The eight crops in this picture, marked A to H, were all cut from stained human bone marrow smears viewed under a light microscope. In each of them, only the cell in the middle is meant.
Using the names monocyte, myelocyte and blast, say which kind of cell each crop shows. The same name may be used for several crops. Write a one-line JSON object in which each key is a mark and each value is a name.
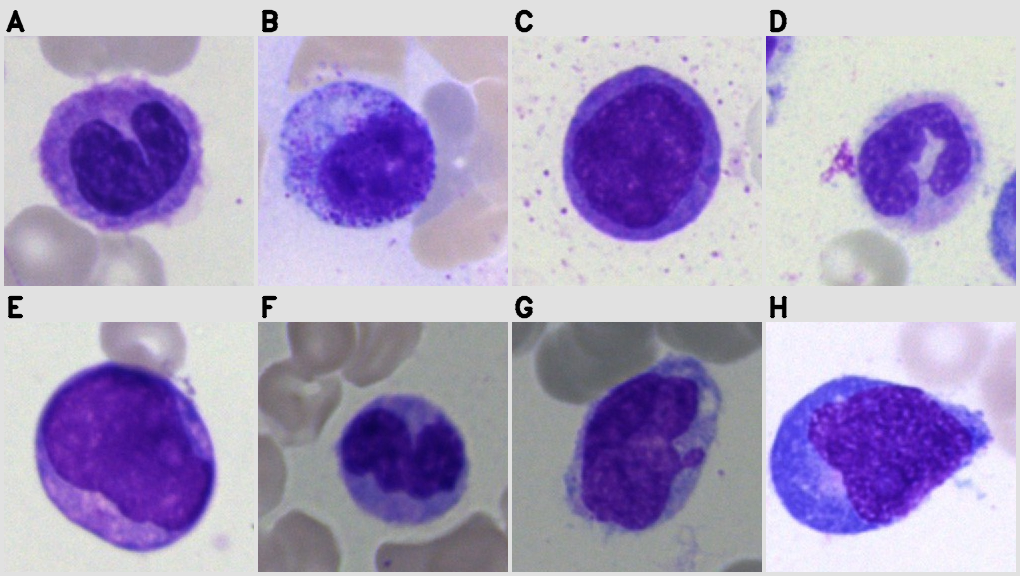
{"A": "monocyte", "B": "myelocyte", "C": "blast", "D": "monocyte", "E": "blast", "F": "monocyte", "G": "monocyte", "H": "blast"}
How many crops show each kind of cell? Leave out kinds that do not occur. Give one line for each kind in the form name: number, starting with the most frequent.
monocyte: 4
blast: 3
myelocyte: 1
